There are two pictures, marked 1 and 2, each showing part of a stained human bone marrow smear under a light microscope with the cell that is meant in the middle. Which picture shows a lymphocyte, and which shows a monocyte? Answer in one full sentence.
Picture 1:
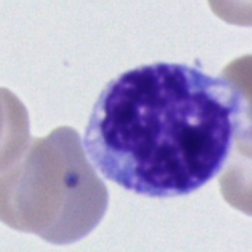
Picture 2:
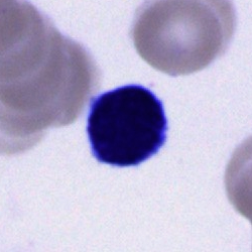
In picture 1 the cell is a monocyte; in picture 2, a lymphocyte.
